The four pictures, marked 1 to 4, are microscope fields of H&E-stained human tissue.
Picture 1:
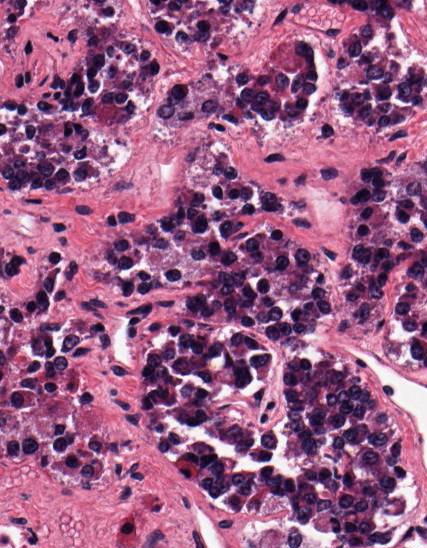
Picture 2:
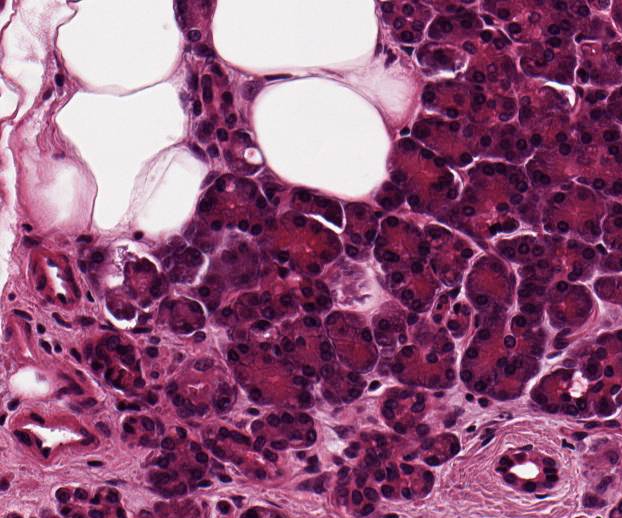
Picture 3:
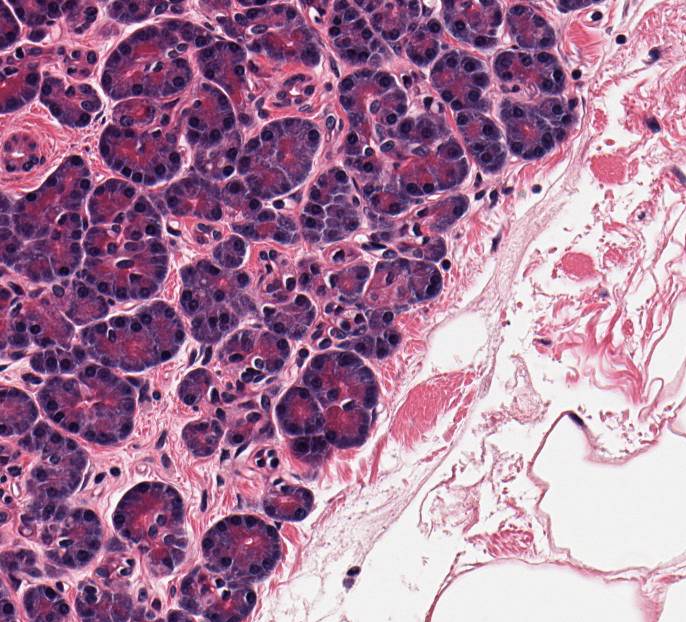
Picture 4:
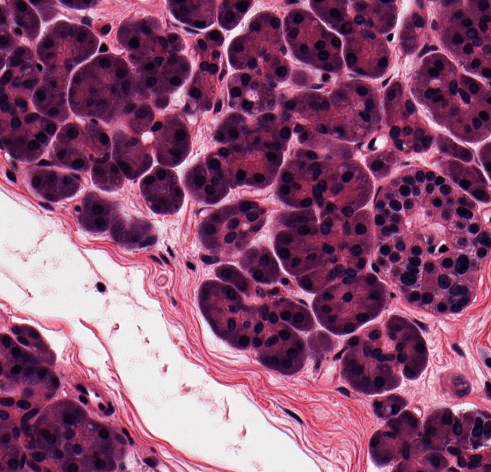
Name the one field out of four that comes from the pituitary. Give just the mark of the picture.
1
